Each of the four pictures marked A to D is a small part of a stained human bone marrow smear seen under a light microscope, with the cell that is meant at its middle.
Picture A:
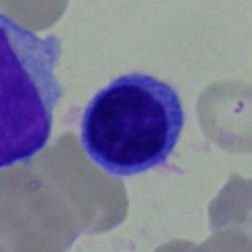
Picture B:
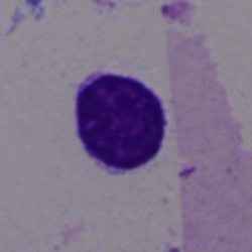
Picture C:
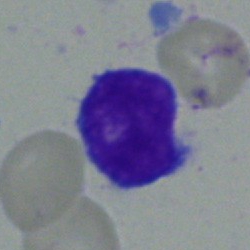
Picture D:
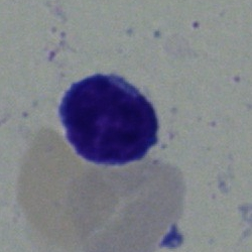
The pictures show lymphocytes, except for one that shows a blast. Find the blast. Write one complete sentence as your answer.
Picture C shows the blast.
